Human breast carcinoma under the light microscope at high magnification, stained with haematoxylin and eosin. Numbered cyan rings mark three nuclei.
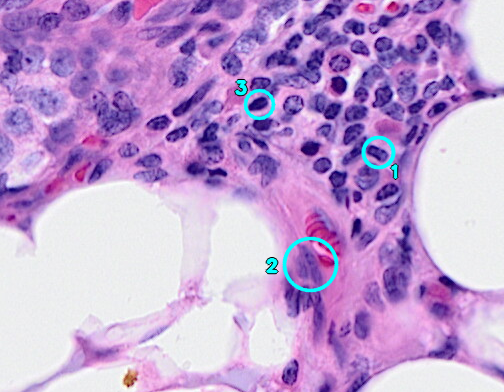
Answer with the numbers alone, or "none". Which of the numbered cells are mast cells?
none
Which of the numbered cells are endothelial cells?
2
